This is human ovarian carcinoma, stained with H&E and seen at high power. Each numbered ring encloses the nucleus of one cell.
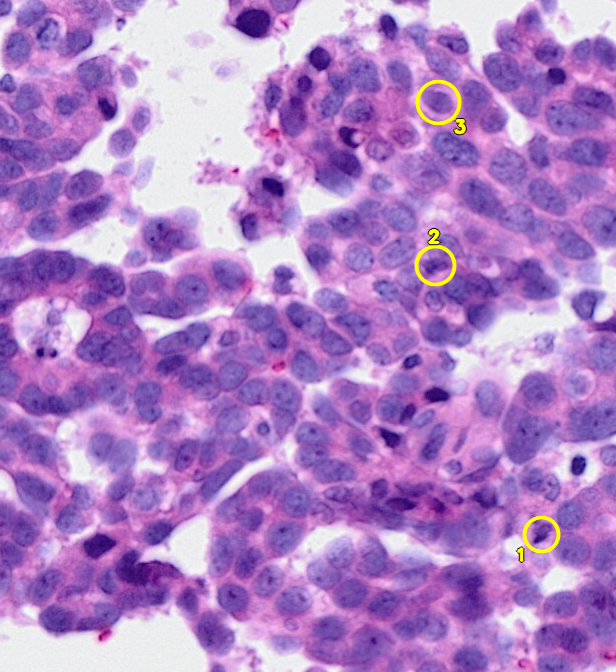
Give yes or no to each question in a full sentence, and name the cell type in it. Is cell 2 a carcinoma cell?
Yes, cell number 2 is classified as a carcinoma cell.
